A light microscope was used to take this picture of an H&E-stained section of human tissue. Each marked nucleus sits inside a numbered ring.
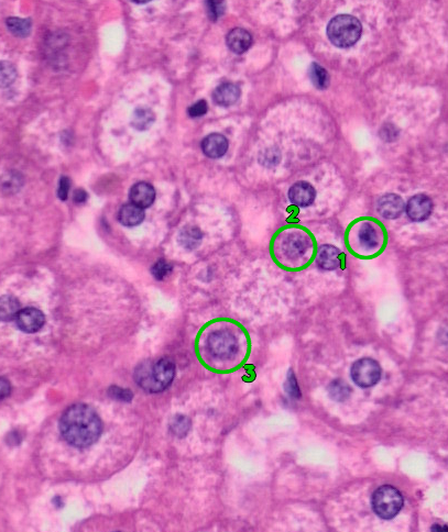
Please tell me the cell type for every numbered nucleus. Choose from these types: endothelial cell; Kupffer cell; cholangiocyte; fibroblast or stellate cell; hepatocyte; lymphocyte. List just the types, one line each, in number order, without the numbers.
endothelial cell
hepatocyte
hepatocyte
